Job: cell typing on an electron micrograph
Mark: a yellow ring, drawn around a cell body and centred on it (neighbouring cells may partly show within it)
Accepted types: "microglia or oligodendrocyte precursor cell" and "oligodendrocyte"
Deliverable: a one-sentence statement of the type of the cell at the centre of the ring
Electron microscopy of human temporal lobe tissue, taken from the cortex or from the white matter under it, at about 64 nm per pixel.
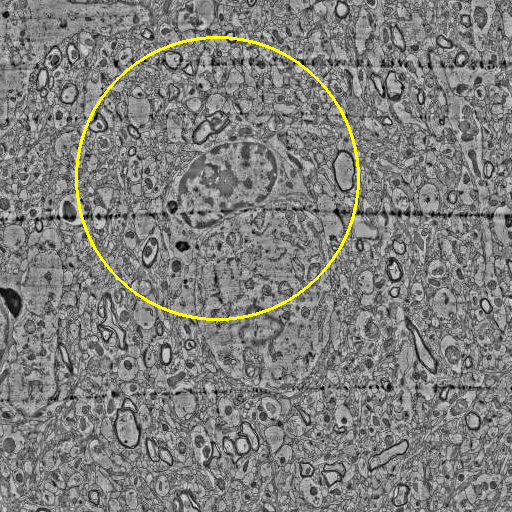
The centred cell body is that of a microglial cell or oligodendrocyte precursor cell.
